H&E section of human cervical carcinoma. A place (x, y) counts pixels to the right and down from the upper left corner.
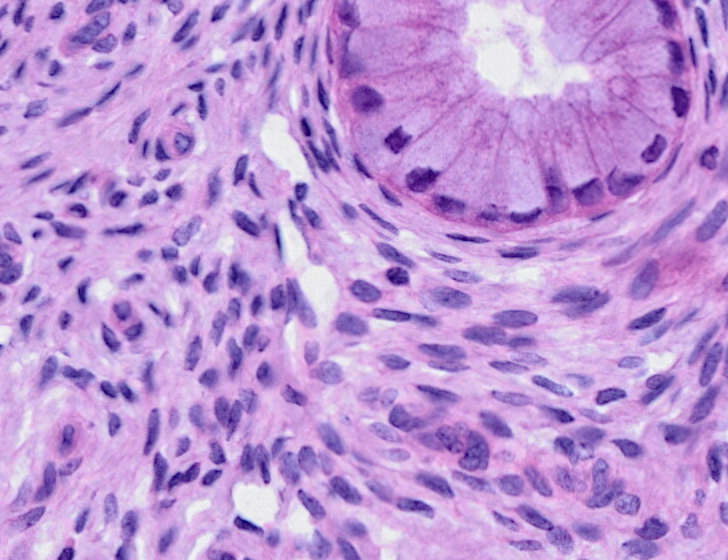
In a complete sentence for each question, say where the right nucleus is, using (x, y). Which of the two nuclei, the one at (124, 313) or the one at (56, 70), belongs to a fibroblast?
The nucleus at (56, 70), rather than the other, belongs to a fibroblast.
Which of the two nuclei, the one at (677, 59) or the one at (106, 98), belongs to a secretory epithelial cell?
Of the pair, the nucleus located at (677, 59) belongs to a secretory epithelial cell.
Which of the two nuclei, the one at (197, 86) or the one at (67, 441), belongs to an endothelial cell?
Identified as belonging to an endothelial cell is the nucleus at (67, 441).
